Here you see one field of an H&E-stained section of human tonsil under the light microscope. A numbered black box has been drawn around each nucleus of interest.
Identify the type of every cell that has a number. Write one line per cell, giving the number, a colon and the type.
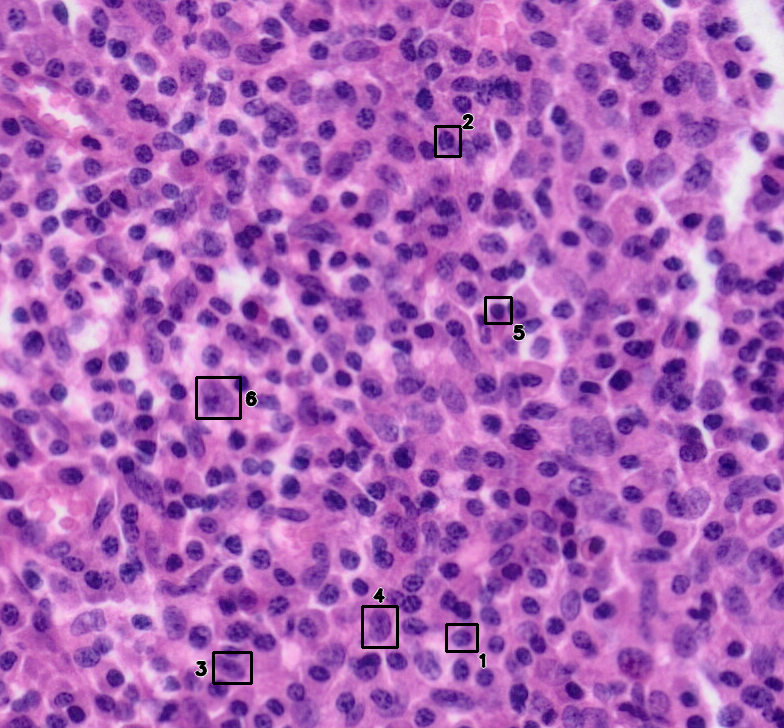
1: plasma cell
2: plasma cell
3: squamous epithelial cell
4: squamous epithelial cell
5: plasma cell
6: squamous epithelial cell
